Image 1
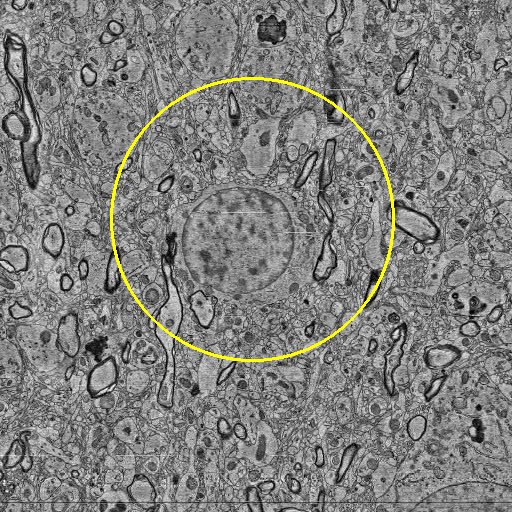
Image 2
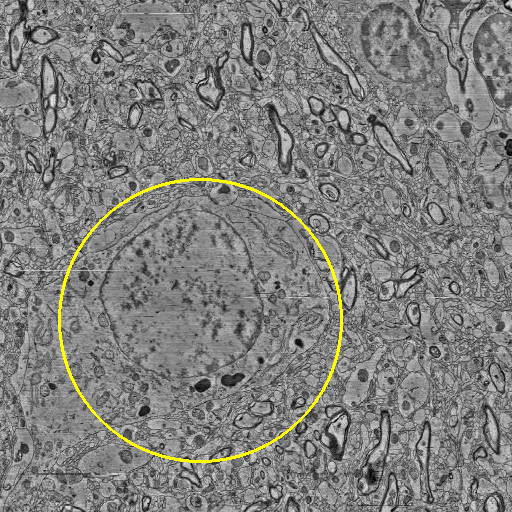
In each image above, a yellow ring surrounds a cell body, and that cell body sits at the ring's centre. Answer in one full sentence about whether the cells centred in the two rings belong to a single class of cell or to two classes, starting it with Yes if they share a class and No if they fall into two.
No, the cells centred in the two yellow rings belong to two classes of cell.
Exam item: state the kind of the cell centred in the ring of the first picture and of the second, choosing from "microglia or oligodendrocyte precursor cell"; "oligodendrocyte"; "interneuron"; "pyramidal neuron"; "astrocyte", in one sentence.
The first picture shows an oligodendrocyte at the ring centre and the second shows an interneuron.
